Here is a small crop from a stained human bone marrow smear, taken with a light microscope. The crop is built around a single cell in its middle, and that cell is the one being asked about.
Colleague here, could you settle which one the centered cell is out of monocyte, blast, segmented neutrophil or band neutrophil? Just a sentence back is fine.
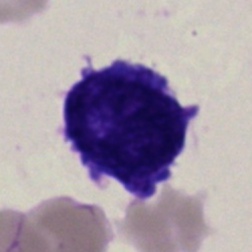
Centred in the crop is a blast.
